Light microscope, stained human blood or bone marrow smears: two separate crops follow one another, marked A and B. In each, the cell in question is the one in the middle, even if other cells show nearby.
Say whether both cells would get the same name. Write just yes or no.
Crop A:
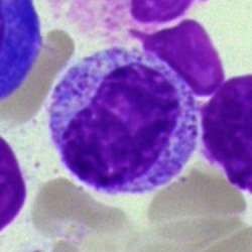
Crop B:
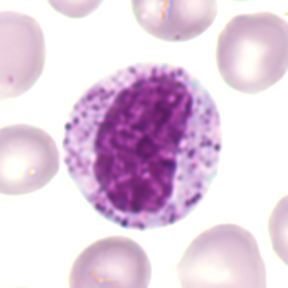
no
